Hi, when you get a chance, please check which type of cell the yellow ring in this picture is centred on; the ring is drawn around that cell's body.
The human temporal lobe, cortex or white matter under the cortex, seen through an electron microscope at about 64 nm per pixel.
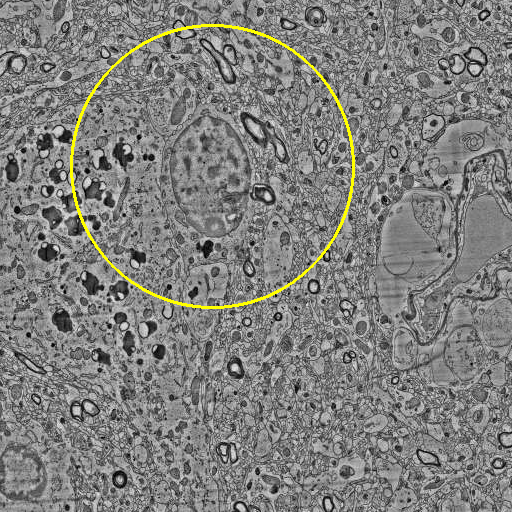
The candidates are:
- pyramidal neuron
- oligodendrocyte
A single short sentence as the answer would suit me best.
The ring is drawn around the body of an oligodendrocyte.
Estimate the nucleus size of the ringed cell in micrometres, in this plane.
About 8 by 5 micrometres, the nucleus being clearly longer than it is wide in this plane.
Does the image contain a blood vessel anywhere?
Yes, there is a blood vessel in the image.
